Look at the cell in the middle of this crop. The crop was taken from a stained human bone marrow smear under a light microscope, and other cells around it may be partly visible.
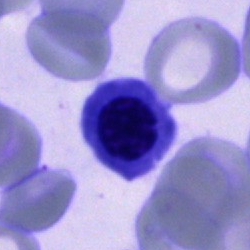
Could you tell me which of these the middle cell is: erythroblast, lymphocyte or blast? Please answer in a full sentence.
The cell occupying the middle of the crop is an erythroblast.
